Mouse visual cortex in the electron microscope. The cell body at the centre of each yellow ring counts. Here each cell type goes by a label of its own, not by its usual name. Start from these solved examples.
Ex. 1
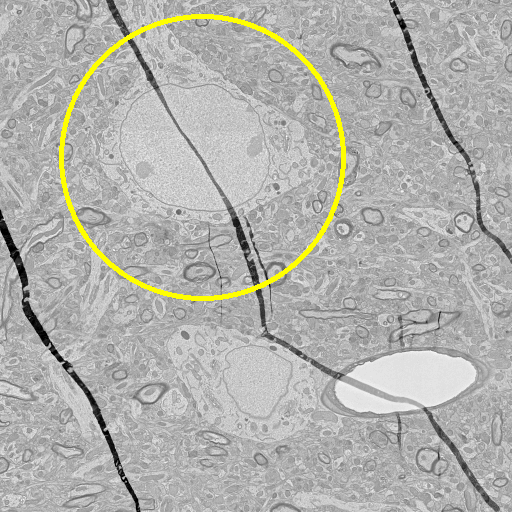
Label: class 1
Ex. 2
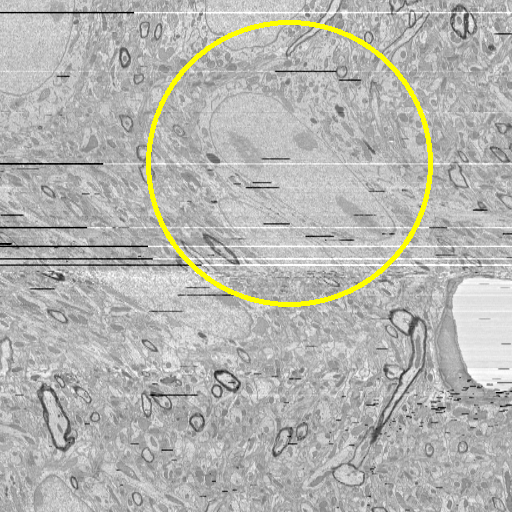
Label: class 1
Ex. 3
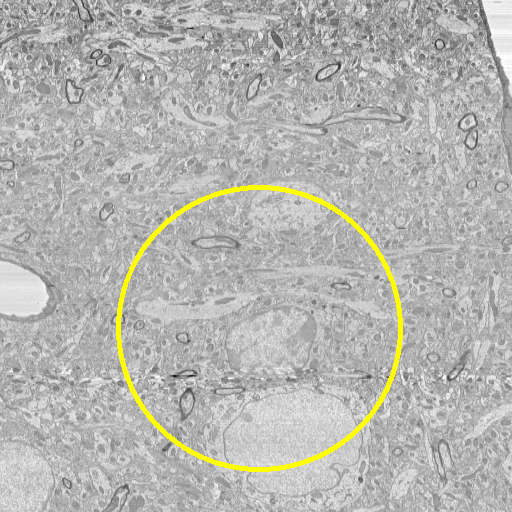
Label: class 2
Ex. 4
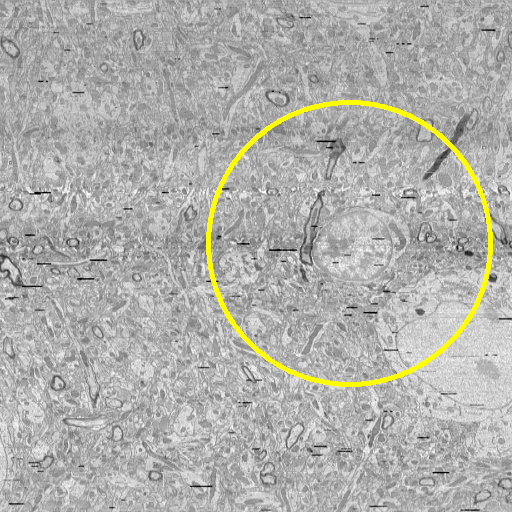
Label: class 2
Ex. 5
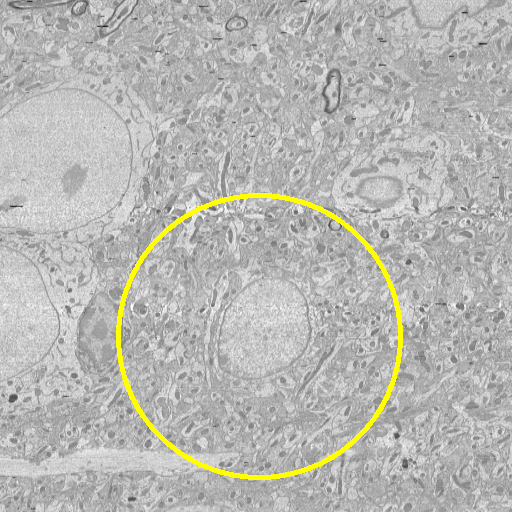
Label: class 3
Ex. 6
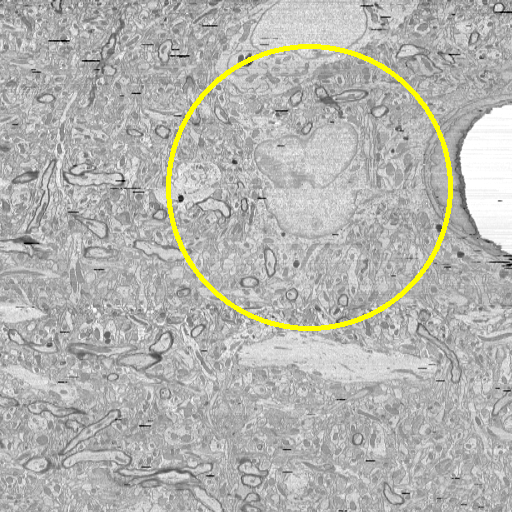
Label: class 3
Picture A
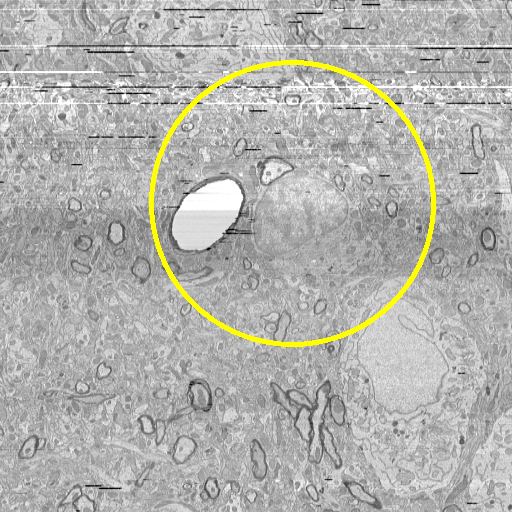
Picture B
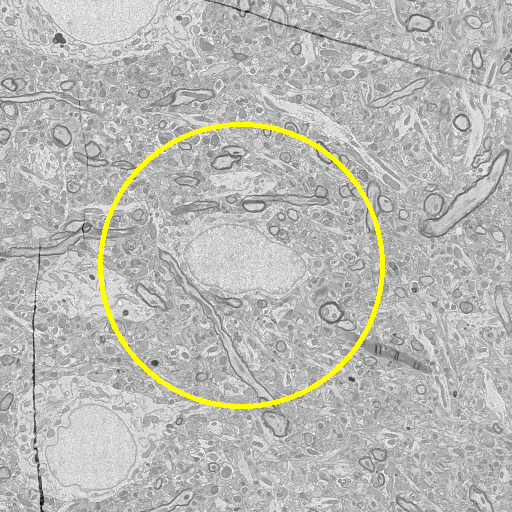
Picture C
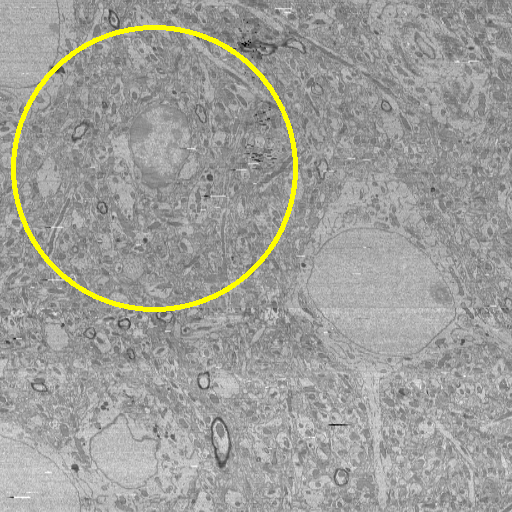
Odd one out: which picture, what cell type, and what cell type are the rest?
Different: B, class 3. Others: class 2.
